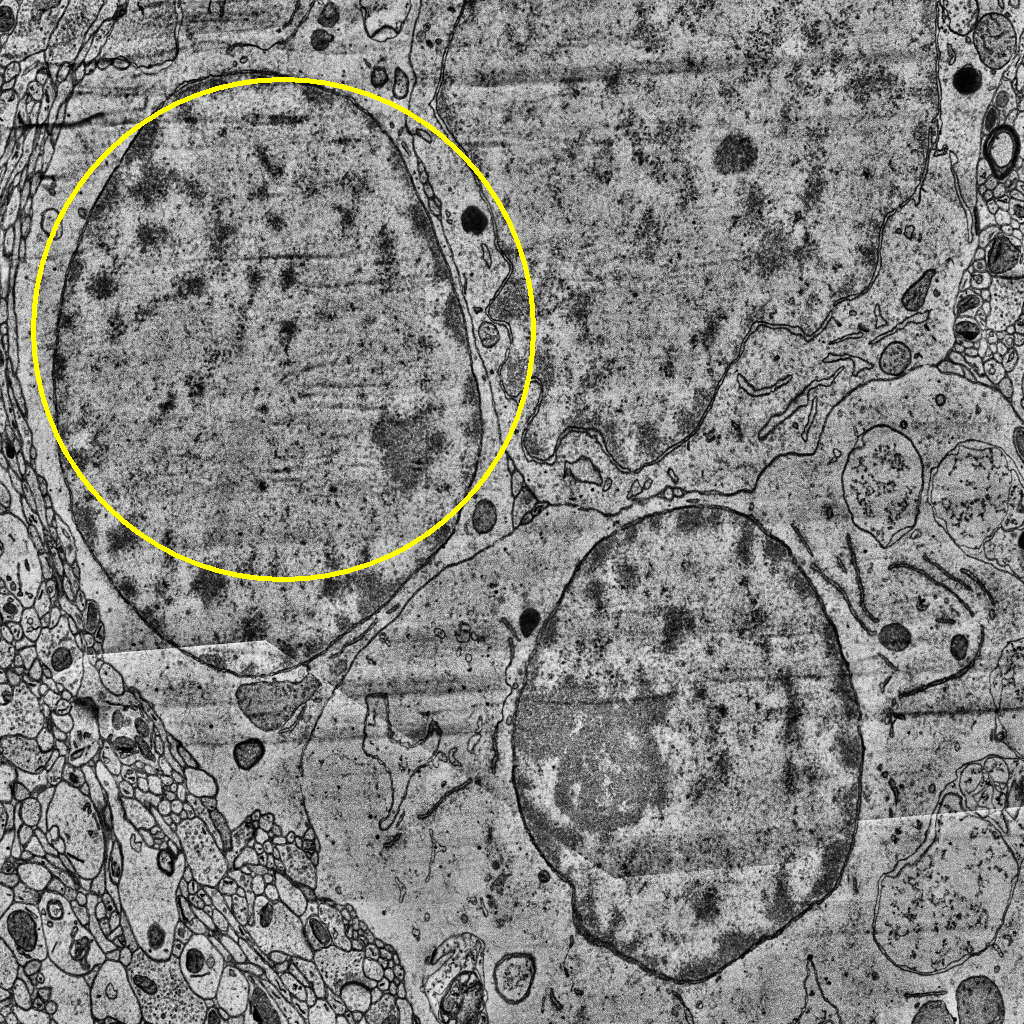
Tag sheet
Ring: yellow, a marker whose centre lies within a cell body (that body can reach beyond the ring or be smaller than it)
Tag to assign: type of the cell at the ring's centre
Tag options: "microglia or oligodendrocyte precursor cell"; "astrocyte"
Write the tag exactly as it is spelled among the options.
astrocyte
